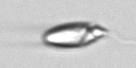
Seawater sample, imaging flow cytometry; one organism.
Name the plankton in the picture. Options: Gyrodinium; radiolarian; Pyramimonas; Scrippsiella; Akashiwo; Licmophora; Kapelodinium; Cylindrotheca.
Kapelodinium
